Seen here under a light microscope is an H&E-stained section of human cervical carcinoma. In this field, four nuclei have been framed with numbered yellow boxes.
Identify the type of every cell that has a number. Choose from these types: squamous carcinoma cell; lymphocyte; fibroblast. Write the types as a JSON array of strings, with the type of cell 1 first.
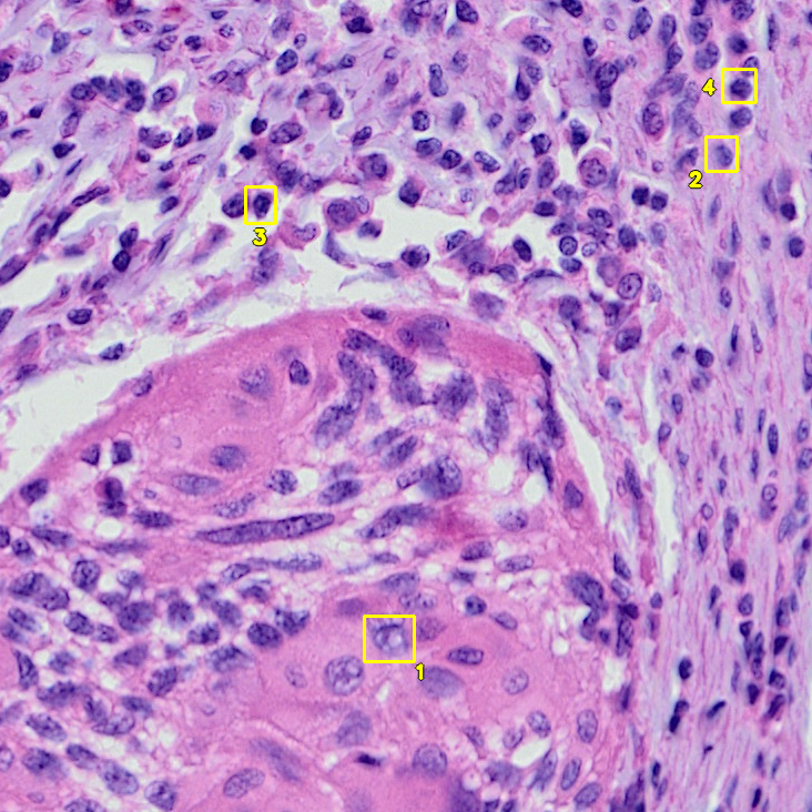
["squamous carcinoma cell", "lymphocyte", "lymphocyte", "lymphocyte"]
